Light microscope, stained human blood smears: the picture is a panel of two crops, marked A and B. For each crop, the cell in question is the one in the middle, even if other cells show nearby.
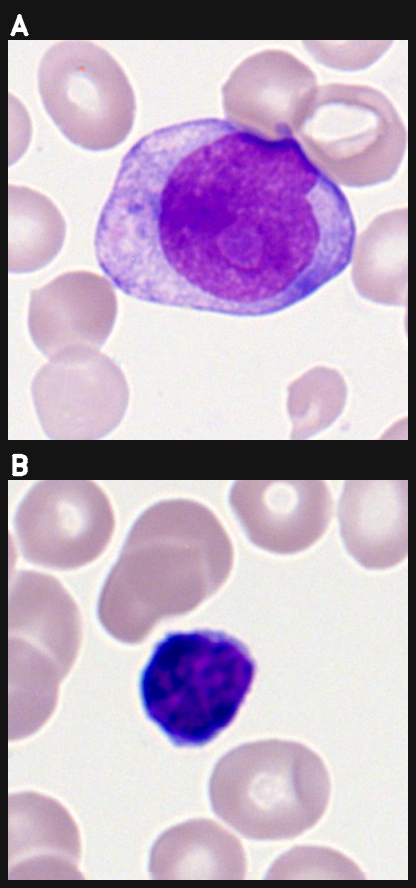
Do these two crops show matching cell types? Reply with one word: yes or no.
no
